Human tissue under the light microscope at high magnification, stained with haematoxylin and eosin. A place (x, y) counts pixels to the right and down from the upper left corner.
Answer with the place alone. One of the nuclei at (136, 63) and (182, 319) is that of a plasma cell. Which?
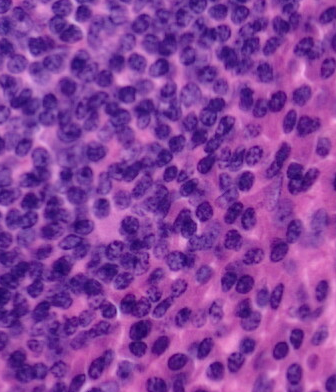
(182, 319)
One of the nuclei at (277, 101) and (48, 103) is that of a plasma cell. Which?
(277, 101)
